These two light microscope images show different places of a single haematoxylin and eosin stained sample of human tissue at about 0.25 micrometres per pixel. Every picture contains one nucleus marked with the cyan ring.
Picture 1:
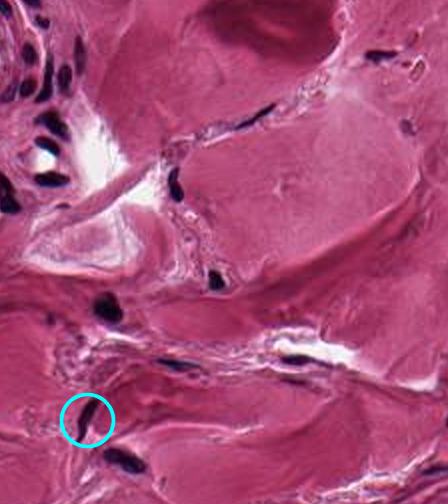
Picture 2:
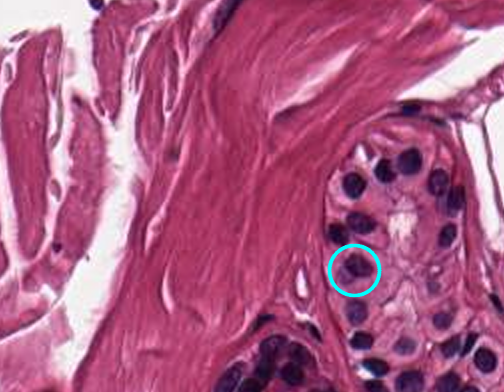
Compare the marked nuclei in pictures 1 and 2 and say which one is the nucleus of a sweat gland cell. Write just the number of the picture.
2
